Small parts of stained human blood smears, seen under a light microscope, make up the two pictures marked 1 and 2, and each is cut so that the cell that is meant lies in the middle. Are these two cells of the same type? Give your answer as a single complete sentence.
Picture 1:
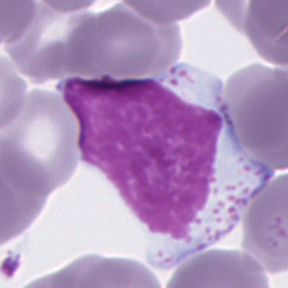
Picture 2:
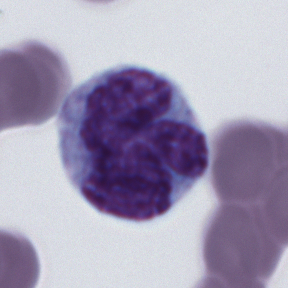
No, they differ: the cell is a large granular lymphocyte in picture 1 and a monocyte in picture 2.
